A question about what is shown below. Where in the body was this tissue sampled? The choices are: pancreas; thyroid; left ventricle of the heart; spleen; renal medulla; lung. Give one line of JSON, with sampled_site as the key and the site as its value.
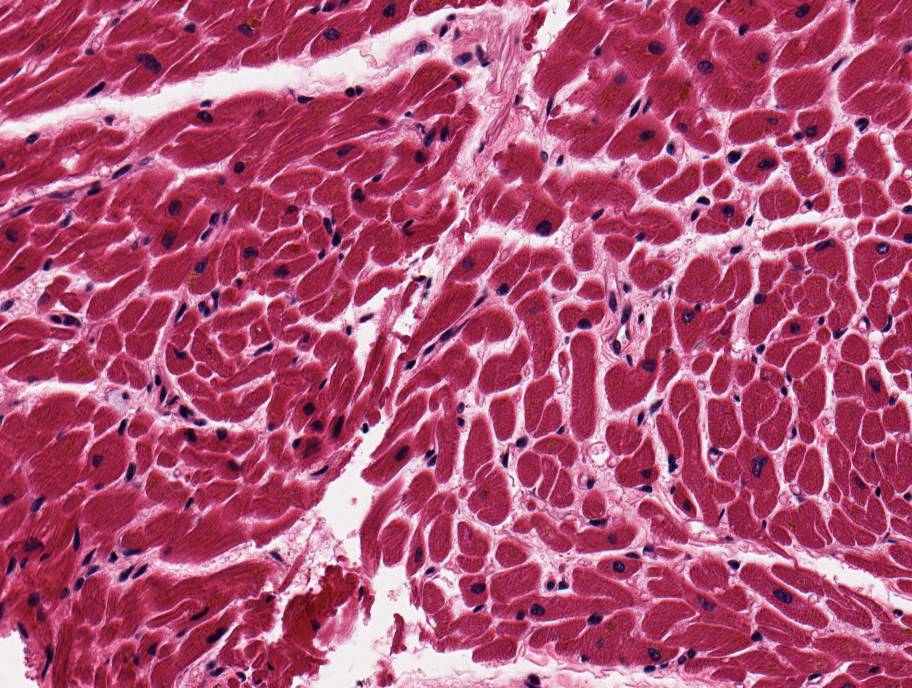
{"sampled_site": "left ventricle of the heart"}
